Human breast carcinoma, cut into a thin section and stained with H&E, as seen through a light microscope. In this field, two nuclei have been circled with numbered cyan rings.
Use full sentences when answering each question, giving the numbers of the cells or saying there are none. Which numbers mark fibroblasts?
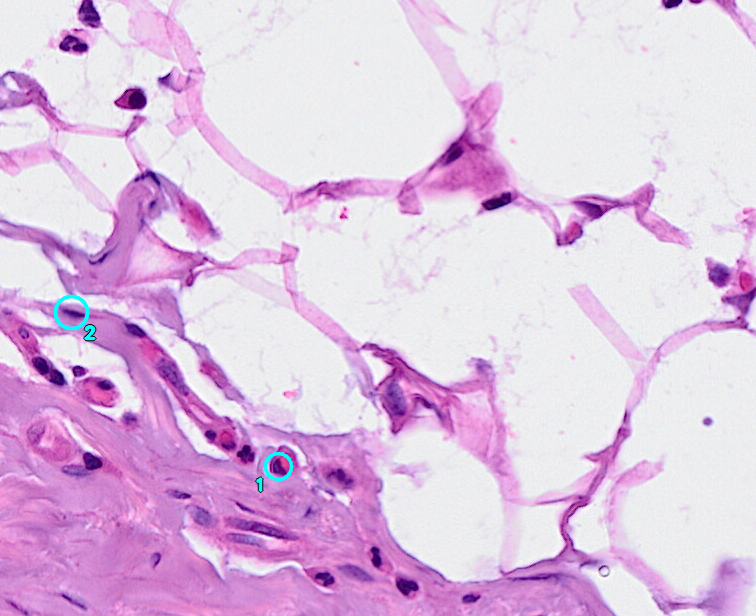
The numbered cells include exactly one that is a fibroblast, which is cell 2.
